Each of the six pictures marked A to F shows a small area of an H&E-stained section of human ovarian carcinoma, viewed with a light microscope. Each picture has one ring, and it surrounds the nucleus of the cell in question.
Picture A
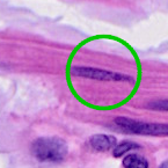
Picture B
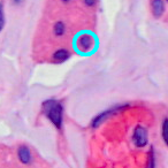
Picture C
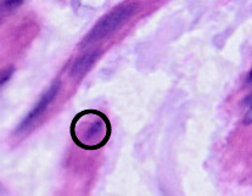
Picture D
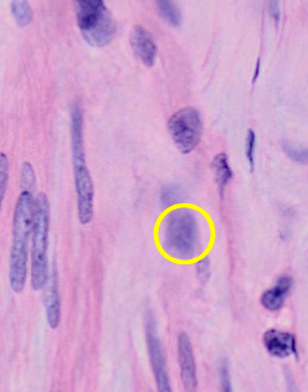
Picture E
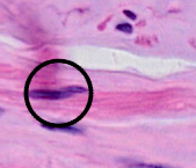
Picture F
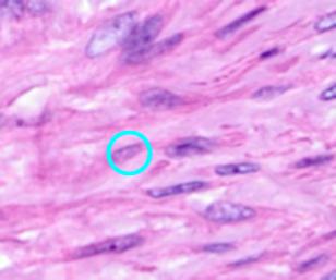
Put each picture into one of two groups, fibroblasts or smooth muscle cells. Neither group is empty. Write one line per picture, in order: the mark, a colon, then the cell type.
A: smooth muscle cell
B: smooth muscle cell
C: smooth muscle cell
D: fibroblast
E: smooth muscle cell
F: fibroblast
